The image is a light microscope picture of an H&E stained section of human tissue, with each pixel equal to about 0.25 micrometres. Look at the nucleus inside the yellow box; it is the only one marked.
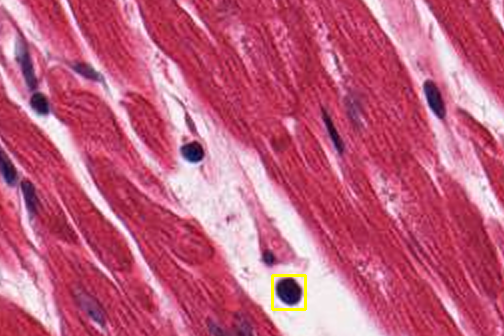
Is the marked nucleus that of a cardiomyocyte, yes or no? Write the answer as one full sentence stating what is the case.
No, the marked nucleus is to be assigned to a supporting cell, not to a cardiomyocyte.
